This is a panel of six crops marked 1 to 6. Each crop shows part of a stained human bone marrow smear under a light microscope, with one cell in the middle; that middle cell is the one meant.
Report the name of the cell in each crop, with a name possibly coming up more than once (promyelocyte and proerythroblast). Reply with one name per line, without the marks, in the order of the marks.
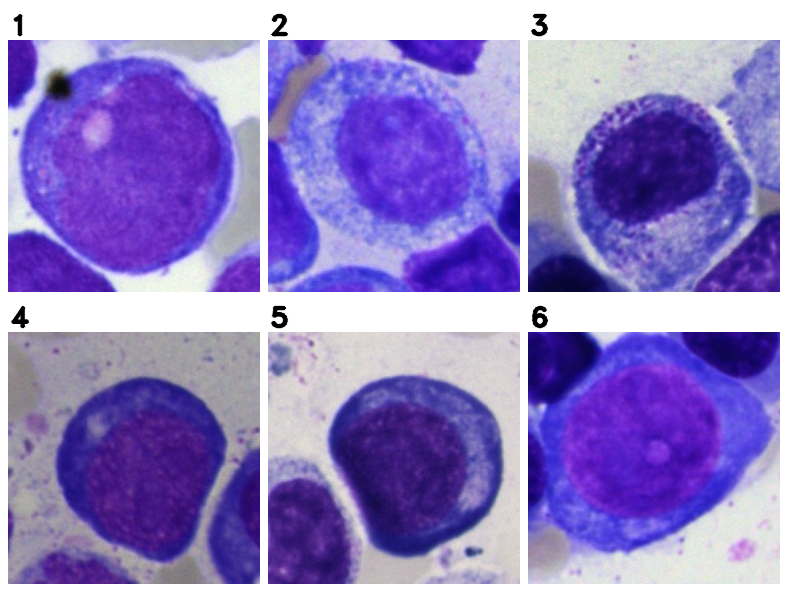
proerythroblast
promyelocyte
promyelocyte
proerythroblast
proerythroblast
proerythroblast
